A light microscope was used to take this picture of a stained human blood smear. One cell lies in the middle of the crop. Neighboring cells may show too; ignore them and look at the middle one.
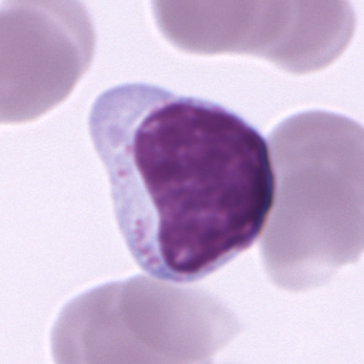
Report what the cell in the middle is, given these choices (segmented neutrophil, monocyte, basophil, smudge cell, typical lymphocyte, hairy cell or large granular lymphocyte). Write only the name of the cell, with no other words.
large granular lymphocyte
